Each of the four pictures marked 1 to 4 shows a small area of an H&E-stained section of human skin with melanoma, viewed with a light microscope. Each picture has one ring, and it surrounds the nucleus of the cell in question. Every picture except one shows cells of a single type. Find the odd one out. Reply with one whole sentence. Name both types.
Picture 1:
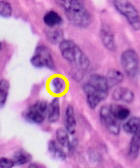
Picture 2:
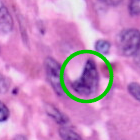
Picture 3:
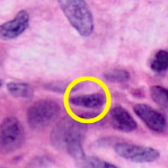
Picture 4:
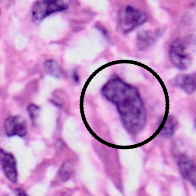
The different one is picture 3; it shows a keratinocyte, whereas all the others show melanoma cells.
